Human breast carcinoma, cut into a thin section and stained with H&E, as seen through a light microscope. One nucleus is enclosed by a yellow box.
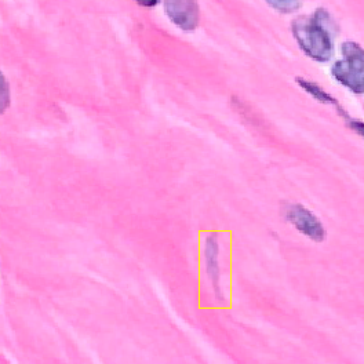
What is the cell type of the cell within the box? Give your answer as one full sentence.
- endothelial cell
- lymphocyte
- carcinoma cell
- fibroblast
In the tissue under study, the cell within the box is a fibroblast.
